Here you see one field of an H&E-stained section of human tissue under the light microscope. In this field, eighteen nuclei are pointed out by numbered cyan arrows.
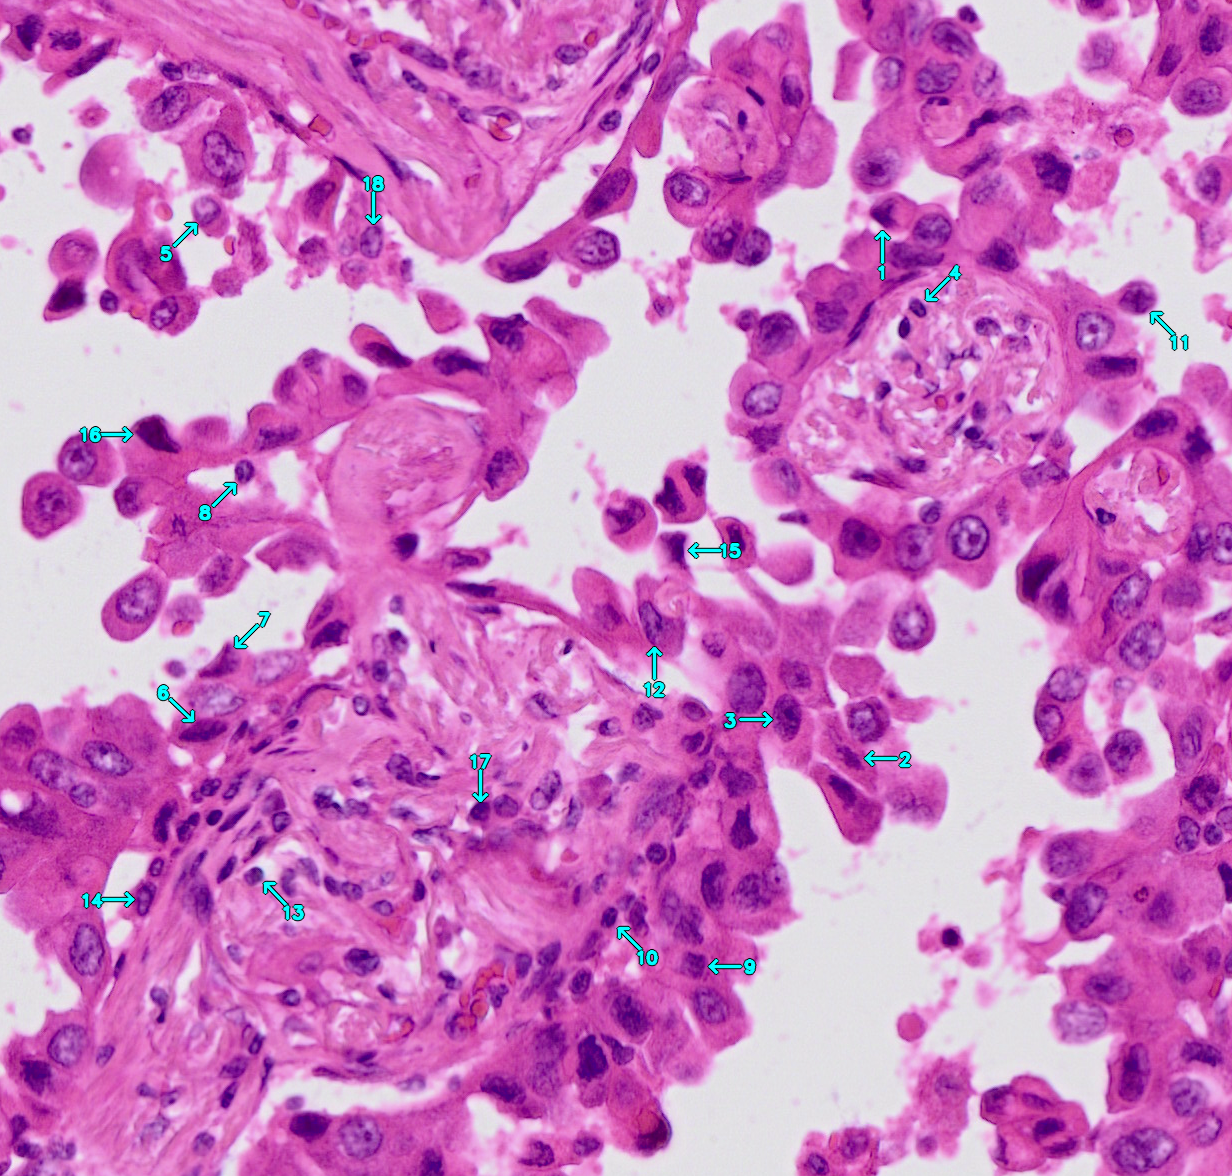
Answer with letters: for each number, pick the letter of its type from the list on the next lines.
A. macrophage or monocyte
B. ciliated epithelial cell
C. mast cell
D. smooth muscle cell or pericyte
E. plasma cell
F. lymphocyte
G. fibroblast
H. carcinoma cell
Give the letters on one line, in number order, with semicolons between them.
H; H; H; F; A; H; H; F; H; F; H; H; F; A; H; H; E; A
